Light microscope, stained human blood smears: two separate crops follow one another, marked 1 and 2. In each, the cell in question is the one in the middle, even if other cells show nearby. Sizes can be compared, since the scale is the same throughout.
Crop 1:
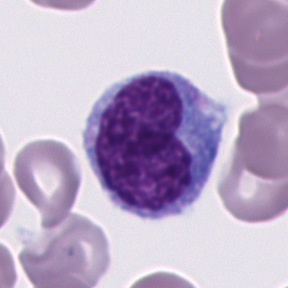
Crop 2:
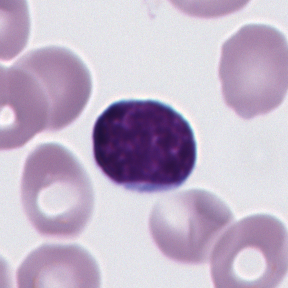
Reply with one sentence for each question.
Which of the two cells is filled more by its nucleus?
Of the two, the nucleus in crop 2 makes up the greater part of its cell.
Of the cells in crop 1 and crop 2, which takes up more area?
The cell in crop 1 is larger, with about 2 times the area of the one in crop 2.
